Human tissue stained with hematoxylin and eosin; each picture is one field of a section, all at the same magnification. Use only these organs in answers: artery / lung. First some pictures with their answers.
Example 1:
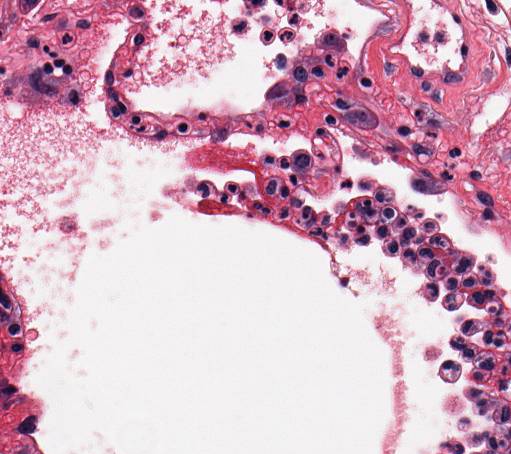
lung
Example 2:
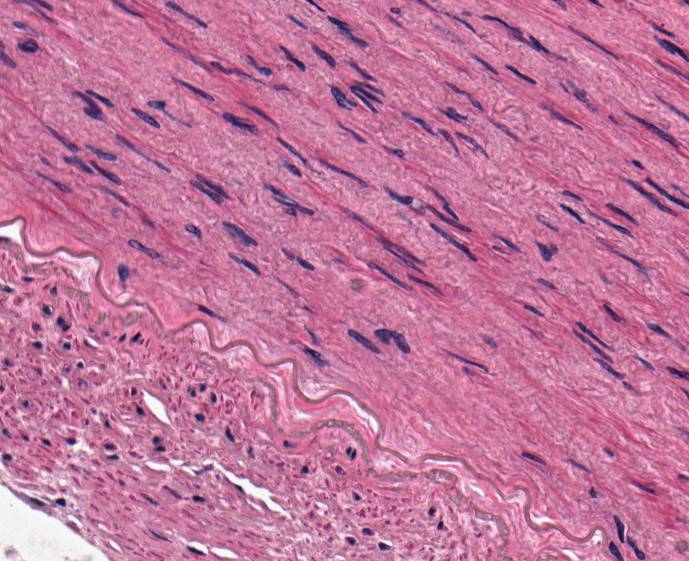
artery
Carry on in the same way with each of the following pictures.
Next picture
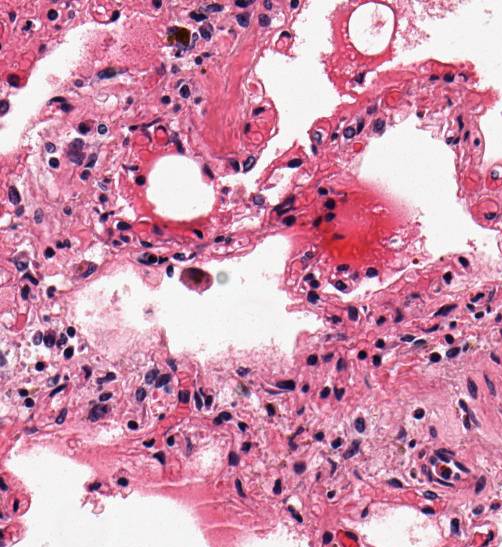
lung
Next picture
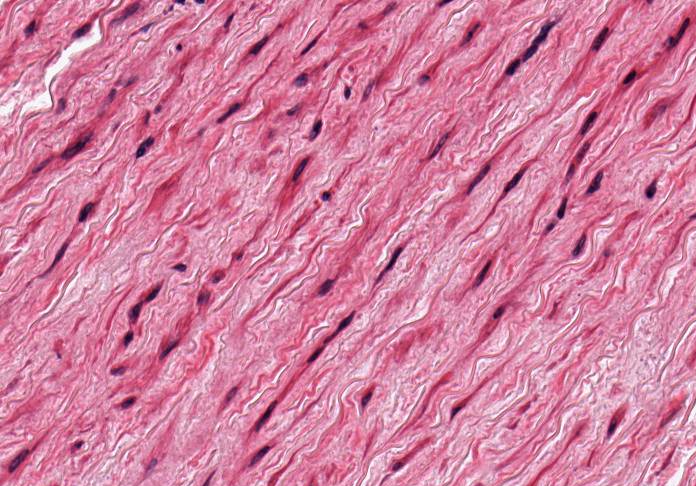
artery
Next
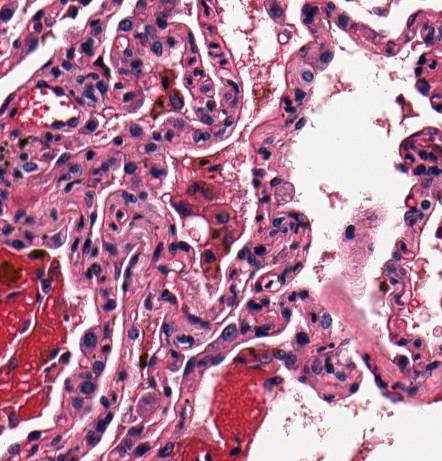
lung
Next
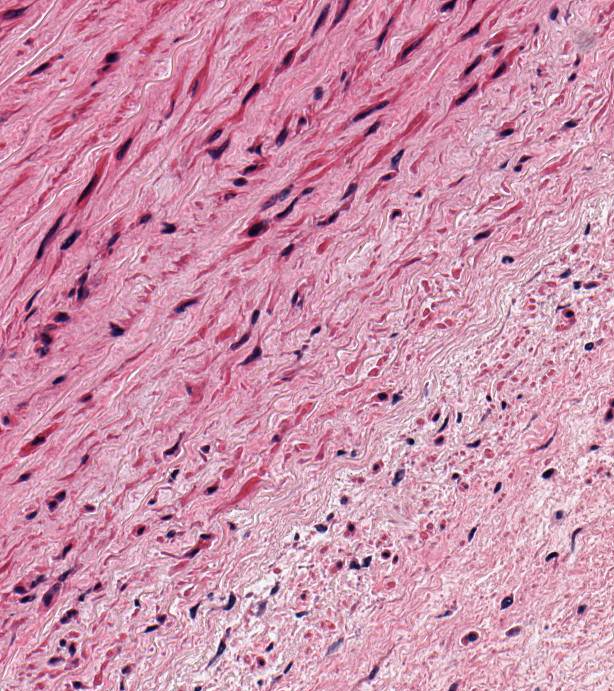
artery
